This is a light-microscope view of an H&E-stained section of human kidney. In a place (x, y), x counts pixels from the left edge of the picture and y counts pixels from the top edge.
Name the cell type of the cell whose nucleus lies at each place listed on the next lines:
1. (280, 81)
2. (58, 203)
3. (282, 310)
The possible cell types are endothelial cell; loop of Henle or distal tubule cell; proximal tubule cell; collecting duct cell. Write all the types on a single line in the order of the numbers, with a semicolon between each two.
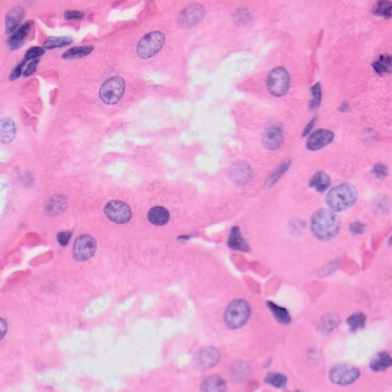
proximal tubule cell; proximal tubule cell; endothelial cell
